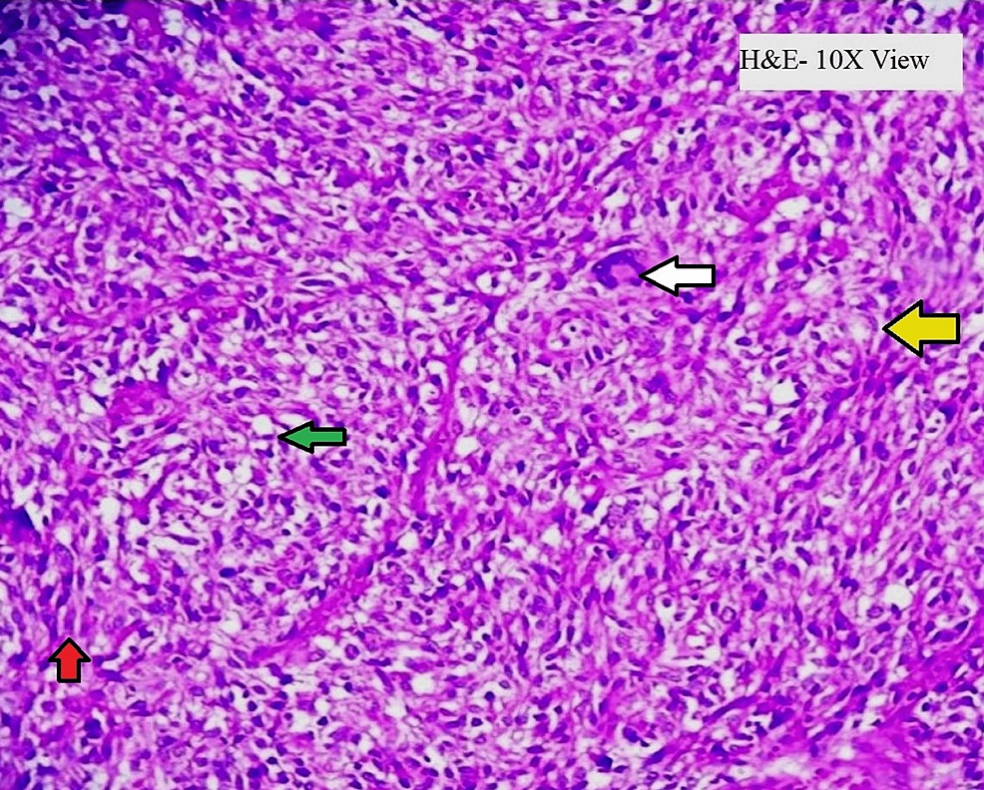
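A densely cellular tumor is composed of spindle cells and epithelioid cells, with the cells arranged in curving bundles that form whorls in places. The spindle cells have elongated, dark purple nuclei and lie in streaming arrays in pink cytoplasm. Scattered among them are rounder, plumper epithelioid cells, some with pale or clear cytoplasm. An occasional multinucleated tumor giant cell is larger than the surrounding cells and has clustered, deeply stained nuclear material.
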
